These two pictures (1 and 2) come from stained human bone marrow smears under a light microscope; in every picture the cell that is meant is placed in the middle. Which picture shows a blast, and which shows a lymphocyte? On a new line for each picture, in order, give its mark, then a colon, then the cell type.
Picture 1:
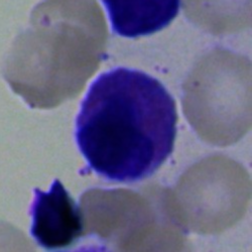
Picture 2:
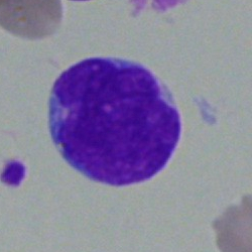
1: lymphocyte
2: blast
